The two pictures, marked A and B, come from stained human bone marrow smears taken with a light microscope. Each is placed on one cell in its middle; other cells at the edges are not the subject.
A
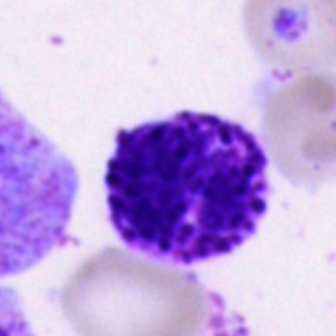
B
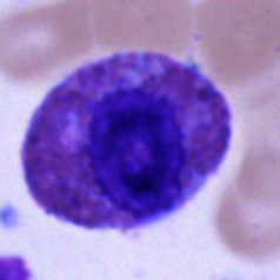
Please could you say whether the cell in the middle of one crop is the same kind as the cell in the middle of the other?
no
